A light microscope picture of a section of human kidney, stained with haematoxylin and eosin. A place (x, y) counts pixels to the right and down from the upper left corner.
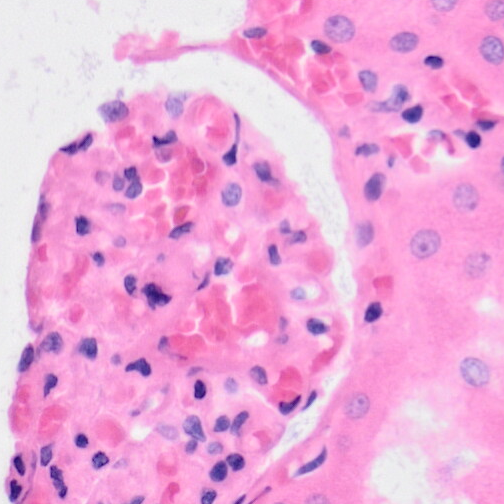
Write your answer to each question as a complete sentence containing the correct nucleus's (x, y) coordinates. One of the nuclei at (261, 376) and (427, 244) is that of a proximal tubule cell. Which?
The member of the pair belonging to a proximal tubule cell is the nucleus at (427, 244).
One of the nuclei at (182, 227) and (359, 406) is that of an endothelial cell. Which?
The nucleus at (182, 227) belongs to an endothelial cell, which distinguishes it from the other nucleus.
